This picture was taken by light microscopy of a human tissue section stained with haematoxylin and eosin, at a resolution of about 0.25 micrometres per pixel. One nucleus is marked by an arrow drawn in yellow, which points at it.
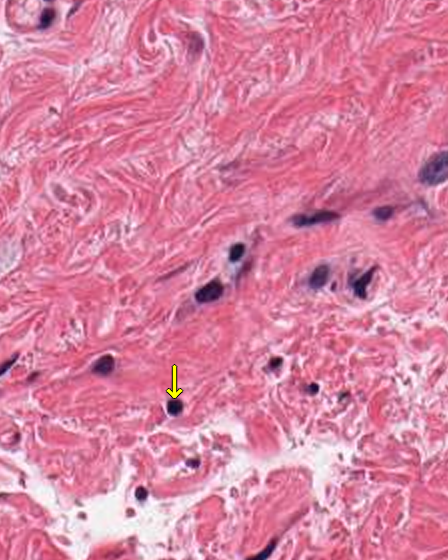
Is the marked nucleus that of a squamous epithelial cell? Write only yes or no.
no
